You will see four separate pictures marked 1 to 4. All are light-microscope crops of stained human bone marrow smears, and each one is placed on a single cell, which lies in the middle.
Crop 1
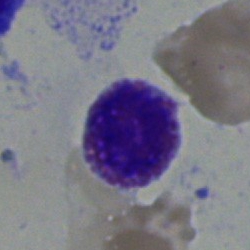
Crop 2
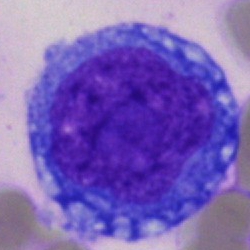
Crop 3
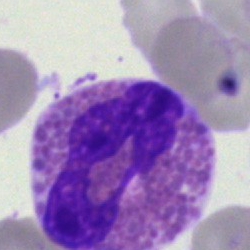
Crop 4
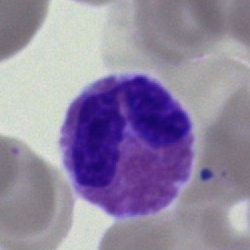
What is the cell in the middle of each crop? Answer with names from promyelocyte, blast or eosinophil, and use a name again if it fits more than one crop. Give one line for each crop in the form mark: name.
1: eosinophil
2: blast
3: eosinophil
4: eosinophil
